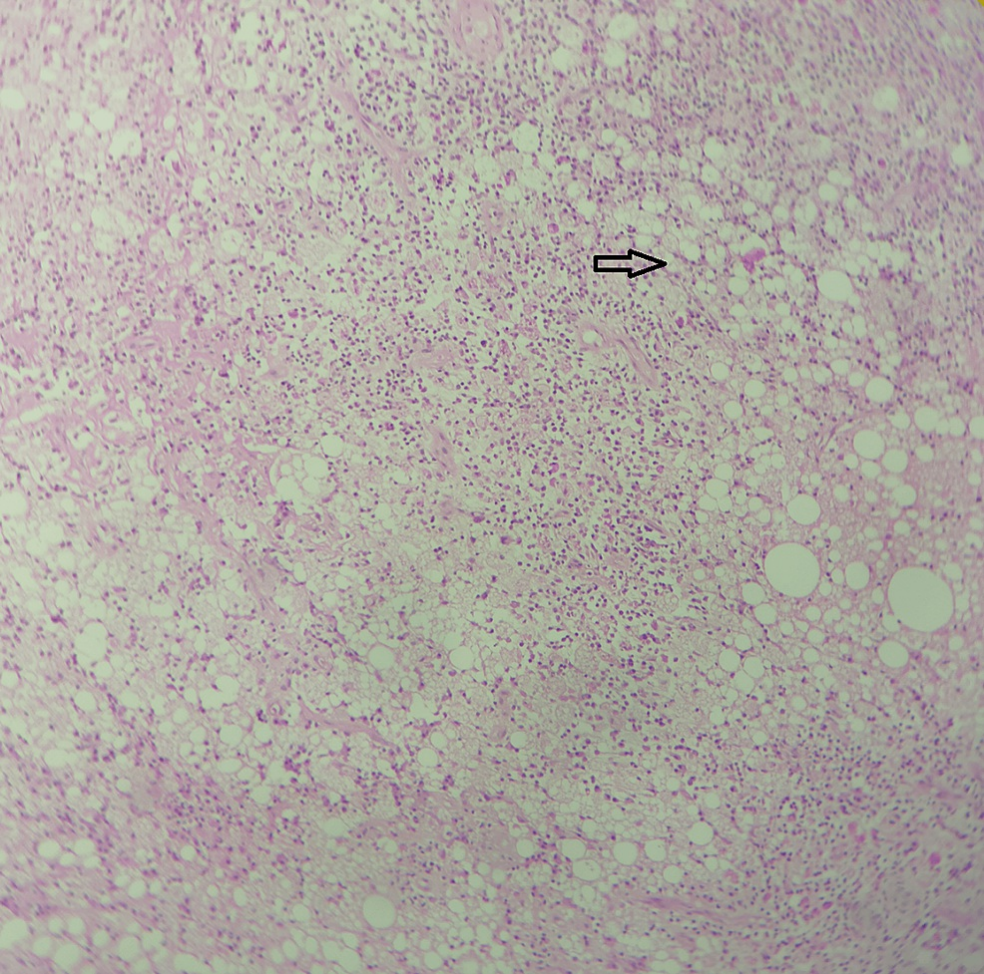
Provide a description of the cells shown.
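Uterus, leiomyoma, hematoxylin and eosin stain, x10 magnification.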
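Small dark inflammatory nuclei crowd between them, most densely through the middle of the field. Thin pink strands of intervening smooth muscle run through the inflamed tissue.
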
